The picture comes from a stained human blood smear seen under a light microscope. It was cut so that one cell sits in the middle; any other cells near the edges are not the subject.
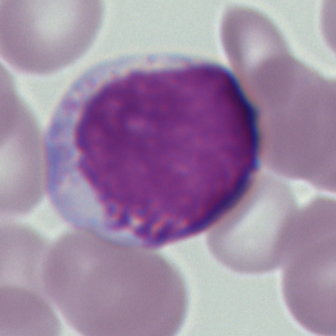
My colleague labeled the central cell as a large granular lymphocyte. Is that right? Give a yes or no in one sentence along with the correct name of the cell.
Yes, the middle of the crop is occupied by a large granular lymphocyte.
